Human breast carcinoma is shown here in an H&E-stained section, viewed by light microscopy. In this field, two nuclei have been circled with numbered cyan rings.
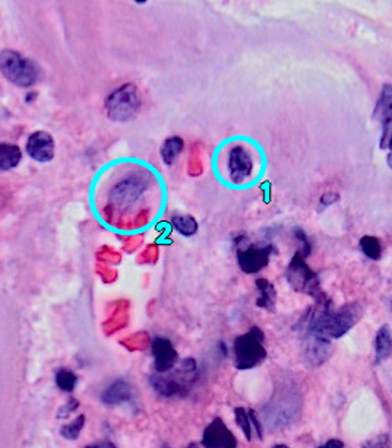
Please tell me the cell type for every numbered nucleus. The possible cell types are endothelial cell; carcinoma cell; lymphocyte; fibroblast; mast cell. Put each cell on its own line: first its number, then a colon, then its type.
1: lymphocyte
2: endothelial cell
